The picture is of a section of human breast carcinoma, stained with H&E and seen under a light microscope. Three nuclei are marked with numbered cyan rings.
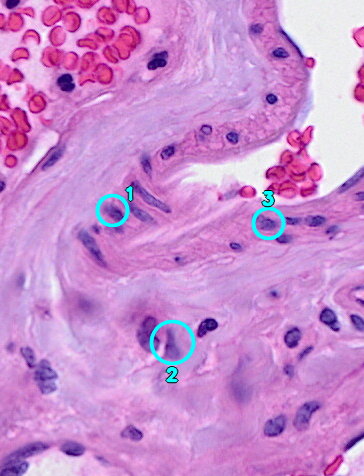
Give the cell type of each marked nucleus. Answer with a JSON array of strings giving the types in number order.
["endothelial cell", "fibroblast", "endothelial cell"]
